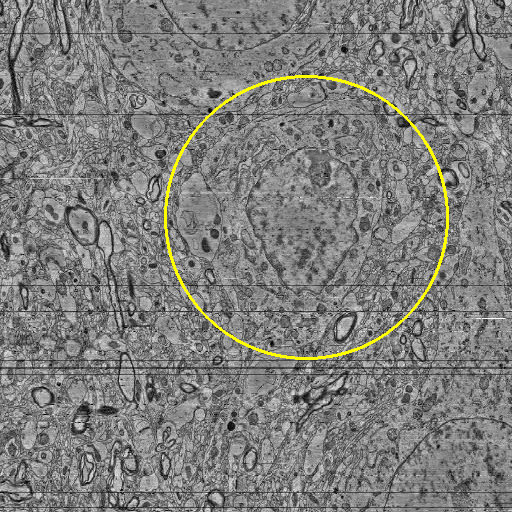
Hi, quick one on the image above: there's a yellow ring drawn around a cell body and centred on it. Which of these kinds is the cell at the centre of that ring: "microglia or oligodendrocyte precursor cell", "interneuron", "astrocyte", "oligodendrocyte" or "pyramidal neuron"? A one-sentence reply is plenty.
The cell at the centre of the ring is an interneuron.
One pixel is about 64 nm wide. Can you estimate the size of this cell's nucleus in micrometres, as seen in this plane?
In this plane, about 10 micrometres in length and 7 in width.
